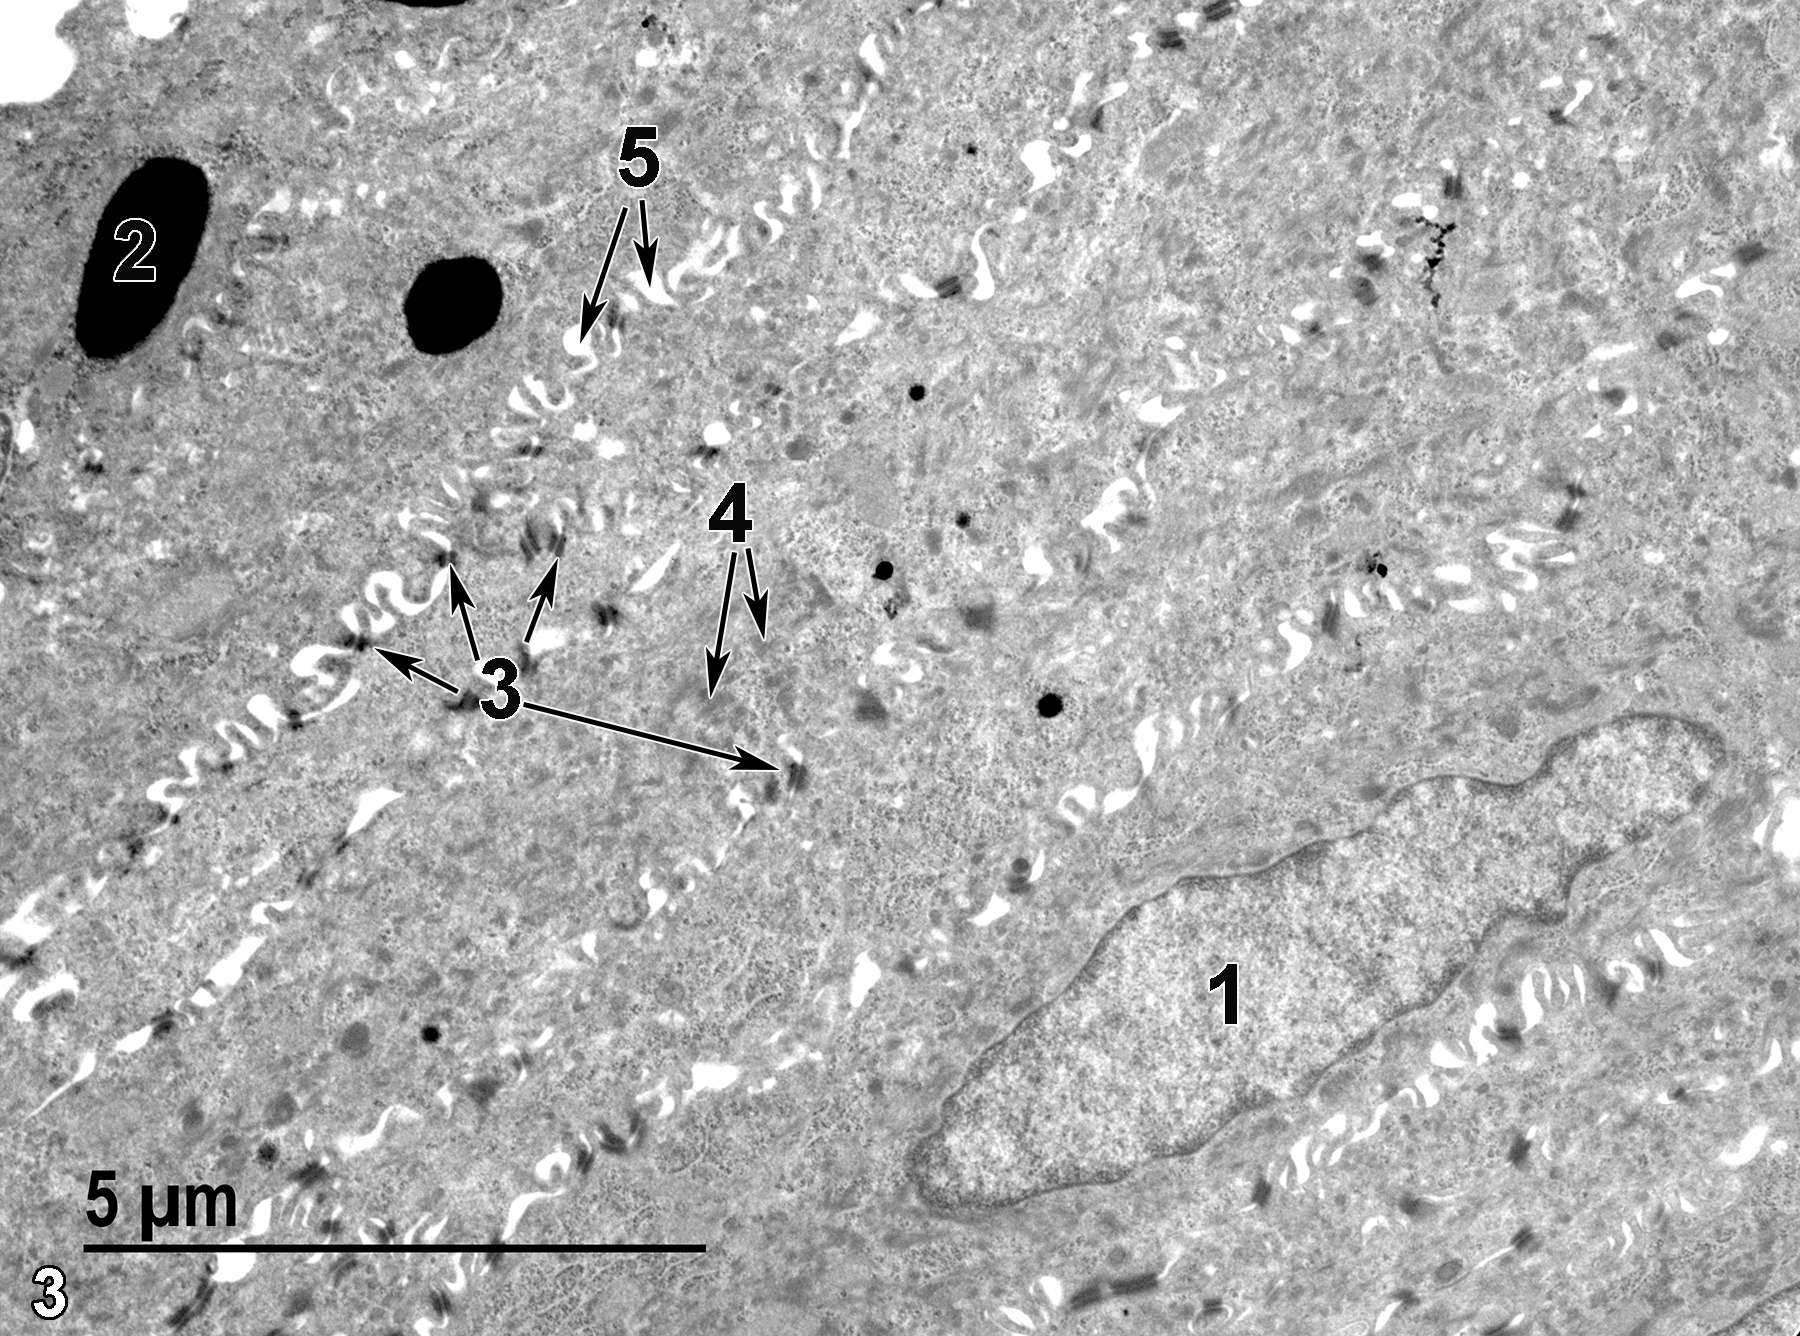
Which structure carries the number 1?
At 1: elongated nucleus of an epithelial cell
